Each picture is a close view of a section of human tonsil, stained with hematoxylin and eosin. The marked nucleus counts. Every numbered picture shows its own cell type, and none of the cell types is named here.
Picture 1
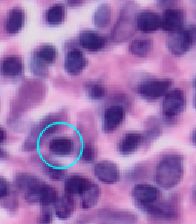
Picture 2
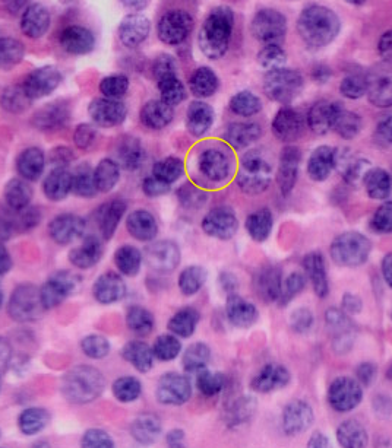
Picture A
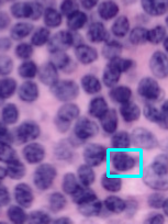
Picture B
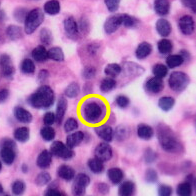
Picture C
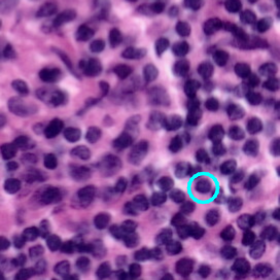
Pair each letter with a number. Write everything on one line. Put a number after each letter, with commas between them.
A 1, B 2, C 1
